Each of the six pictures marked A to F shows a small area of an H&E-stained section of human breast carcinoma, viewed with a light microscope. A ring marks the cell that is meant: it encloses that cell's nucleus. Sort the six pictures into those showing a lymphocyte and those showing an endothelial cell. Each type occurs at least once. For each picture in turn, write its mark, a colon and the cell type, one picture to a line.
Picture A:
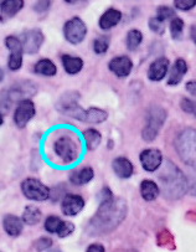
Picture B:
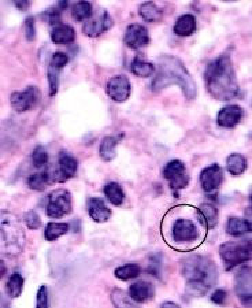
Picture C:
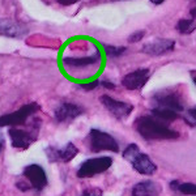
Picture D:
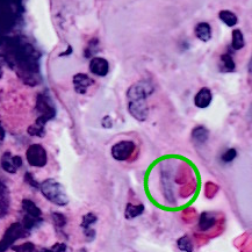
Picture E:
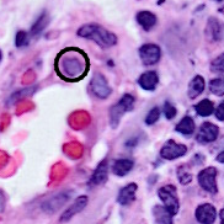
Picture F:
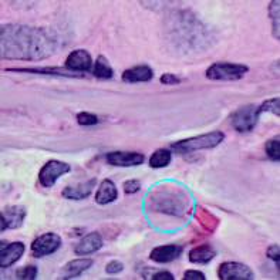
A: lymphocyte
B: lymphocyte
C: endothelial cell
D: endothelial cell
E: endothelial cell
F: endothelial cell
